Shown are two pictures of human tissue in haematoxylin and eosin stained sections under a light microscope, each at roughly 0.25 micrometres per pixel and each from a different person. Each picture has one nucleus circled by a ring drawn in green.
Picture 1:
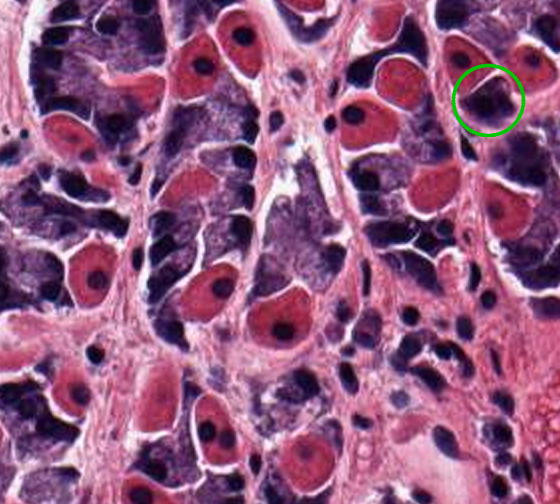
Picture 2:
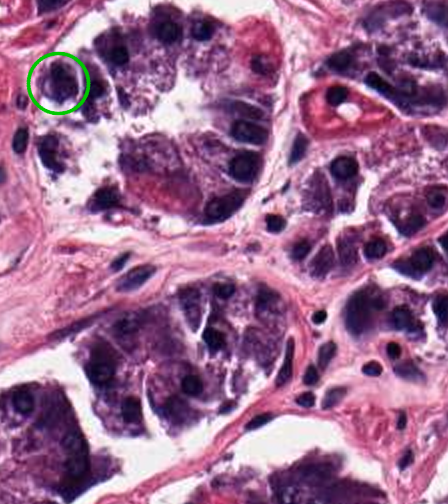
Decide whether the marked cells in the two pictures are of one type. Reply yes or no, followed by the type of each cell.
Yes, both are chief cells.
